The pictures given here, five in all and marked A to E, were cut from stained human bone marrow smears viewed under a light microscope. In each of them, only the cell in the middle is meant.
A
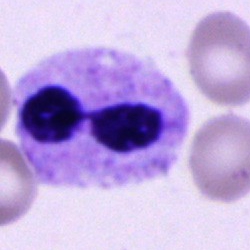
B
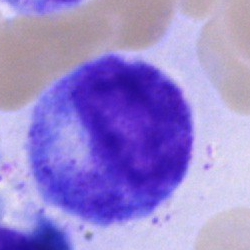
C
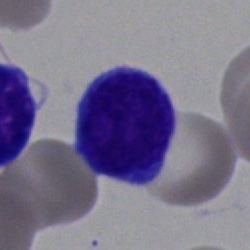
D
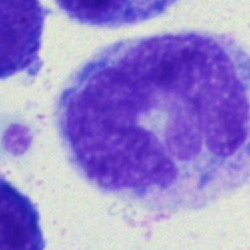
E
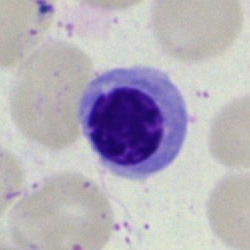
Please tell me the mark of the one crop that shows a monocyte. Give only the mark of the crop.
D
